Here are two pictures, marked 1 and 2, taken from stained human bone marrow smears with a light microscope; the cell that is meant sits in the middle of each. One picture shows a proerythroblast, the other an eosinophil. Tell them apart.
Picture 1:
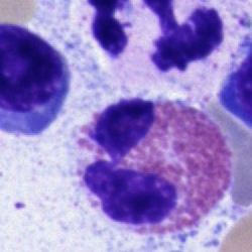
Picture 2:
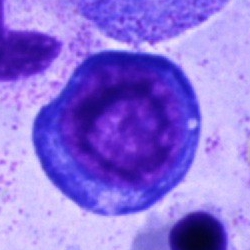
1: eosinophil
2: proerythroblast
